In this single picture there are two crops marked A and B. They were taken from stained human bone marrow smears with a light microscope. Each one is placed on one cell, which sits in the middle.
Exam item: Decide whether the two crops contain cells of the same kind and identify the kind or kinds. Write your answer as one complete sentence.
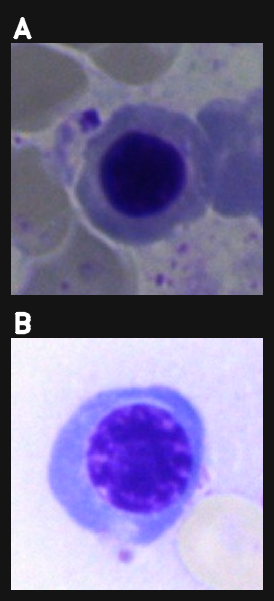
Yes, both crops show erythroblasts as the central cells.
